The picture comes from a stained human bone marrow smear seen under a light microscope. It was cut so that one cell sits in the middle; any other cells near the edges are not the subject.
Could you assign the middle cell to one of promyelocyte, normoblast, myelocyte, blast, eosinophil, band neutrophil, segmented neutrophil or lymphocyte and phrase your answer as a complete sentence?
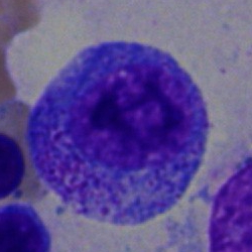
The centrally located cell in the crop is a promyelocyte.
